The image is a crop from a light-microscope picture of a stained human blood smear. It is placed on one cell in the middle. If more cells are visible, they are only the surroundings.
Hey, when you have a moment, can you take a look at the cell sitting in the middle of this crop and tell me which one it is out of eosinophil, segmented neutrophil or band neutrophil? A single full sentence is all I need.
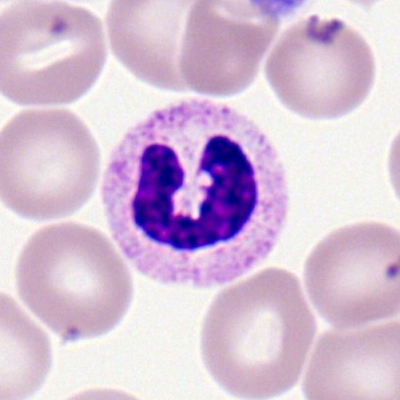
The centered cell in this crop is a band neutrophil.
